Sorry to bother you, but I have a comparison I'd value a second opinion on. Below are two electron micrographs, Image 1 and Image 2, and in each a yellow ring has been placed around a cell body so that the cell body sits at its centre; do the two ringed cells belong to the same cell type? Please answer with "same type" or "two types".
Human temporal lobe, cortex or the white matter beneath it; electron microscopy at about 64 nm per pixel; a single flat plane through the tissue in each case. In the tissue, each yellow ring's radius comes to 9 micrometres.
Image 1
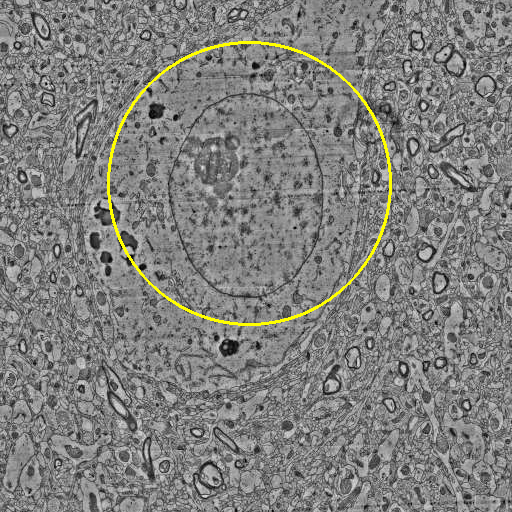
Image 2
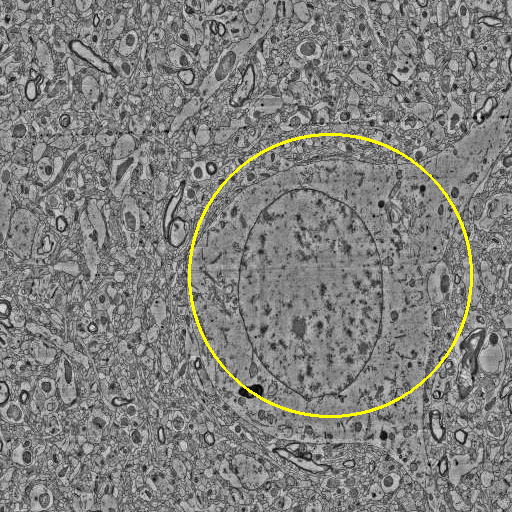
same type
